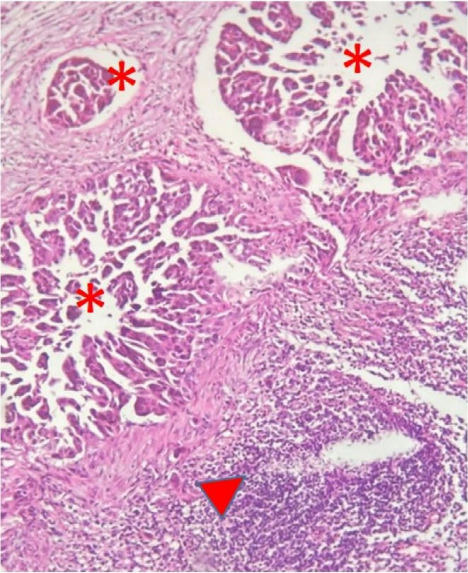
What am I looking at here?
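Lymph-node tissue is infiltrated by nests of tumor tissue made of malignant epithelial cells. The tumor nests are rounded and contain cells arranged in glandular and micropapillary structures around central open spaces, with dark, crowded nuclei. Pink fibrous stroma separates the nests, and one small nest sits within a rounded space surrounded by stroma. At the lower edge lies a dense sheet of small, dark round lymphoid cells of the node.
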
